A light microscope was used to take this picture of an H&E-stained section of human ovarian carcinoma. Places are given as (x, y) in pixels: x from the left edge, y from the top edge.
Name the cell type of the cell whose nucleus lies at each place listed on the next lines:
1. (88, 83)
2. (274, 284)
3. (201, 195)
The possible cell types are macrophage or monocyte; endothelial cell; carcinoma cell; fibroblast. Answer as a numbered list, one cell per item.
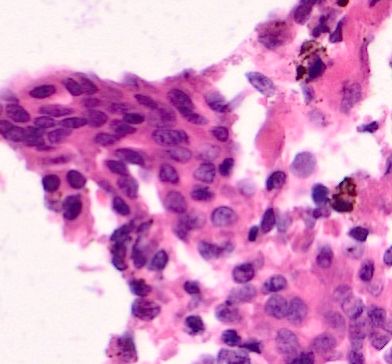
1. carcinoma cell
2. macrophage or monocyte
3. carcinoma cell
